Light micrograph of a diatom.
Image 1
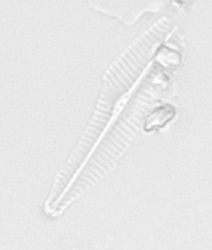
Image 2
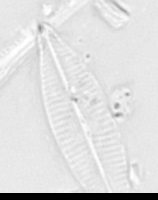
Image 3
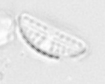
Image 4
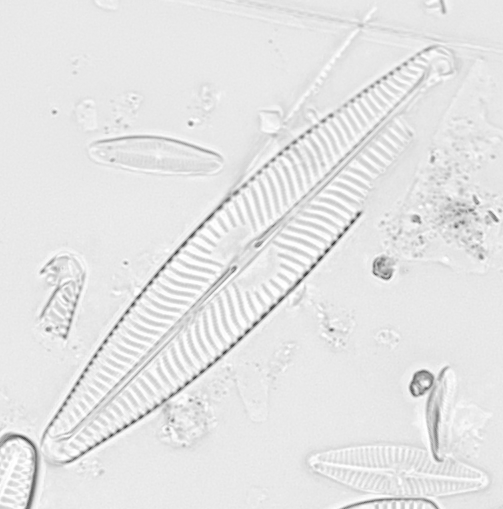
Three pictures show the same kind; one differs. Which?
Picture 3: Amphora, while the others are Navicula.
